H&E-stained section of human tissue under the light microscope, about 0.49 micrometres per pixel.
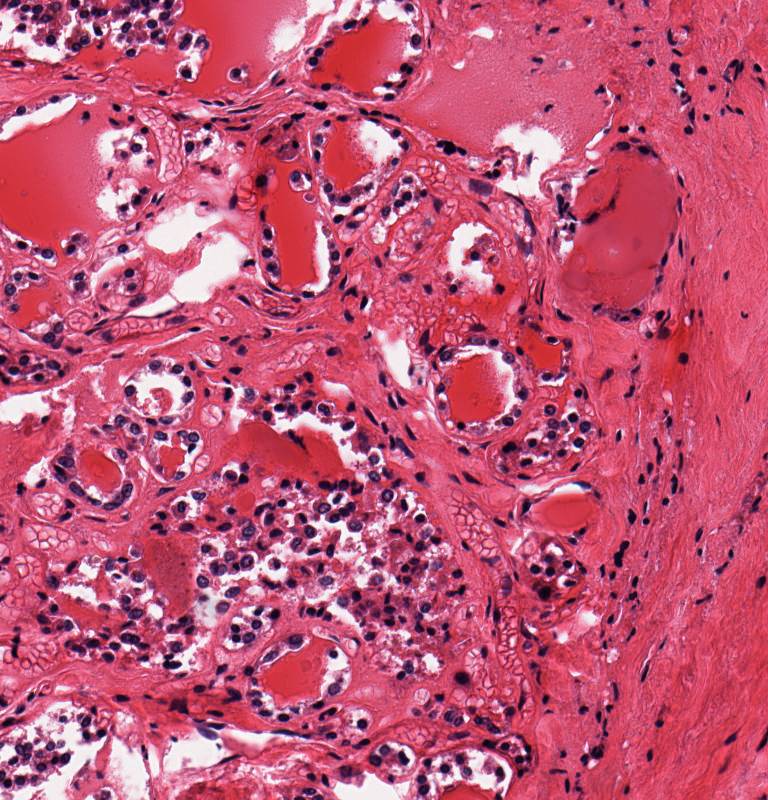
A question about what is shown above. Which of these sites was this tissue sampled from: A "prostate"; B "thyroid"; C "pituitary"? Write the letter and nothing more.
B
